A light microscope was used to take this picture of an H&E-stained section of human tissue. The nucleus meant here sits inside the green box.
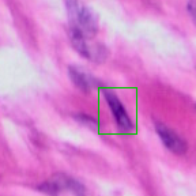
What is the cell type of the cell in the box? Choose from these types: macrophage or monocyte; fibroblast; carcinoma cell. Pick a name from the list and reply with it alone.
fibroblast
